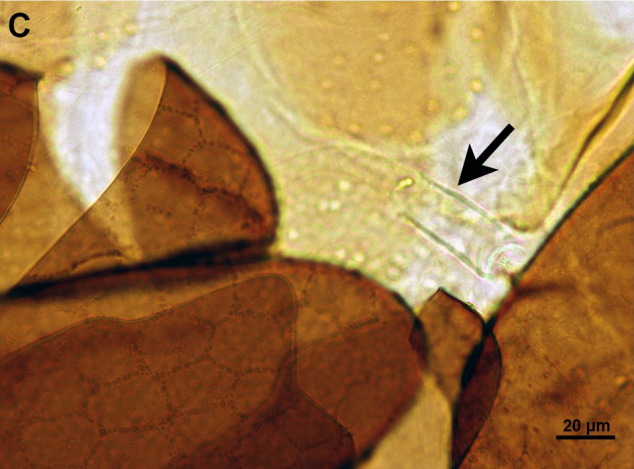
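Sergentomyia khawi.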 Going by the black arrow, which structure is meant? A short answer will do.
A spermatheca.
